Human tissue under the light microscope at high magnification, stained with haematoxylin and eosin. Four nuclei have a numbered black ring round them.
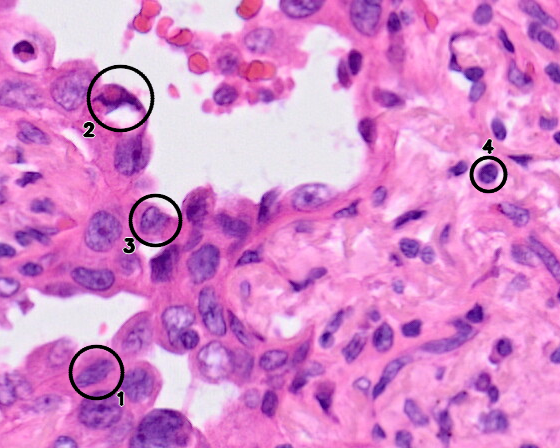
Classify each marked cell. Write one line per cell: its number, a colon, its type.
1: carcinoma cell
2: carcinoma cell
3: carcinoma cell
4: lymphocyte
